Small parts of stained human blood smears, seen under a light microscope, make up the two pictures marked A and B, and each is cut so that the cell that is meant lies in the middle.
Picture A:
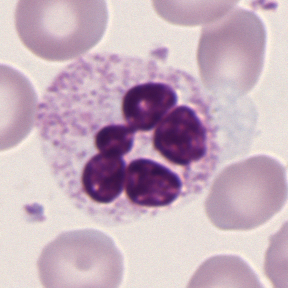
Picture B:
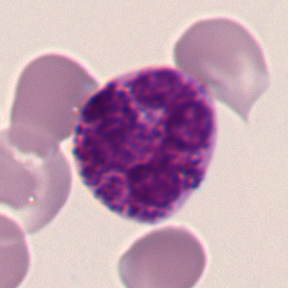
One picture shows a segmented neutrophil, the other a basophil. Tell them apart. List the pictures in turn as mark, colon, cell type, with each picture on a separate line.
A: segmented neutrophil
B: basophil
